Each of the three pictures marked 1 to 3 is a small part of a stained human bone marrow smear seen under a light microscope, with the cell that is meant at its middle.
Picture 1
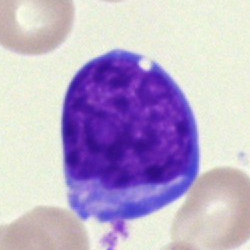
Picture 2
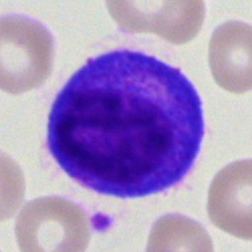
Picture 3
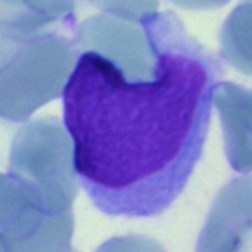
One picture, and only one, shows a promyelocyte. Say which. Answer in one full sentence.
It is picture 2 that shows the promyelocyte.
